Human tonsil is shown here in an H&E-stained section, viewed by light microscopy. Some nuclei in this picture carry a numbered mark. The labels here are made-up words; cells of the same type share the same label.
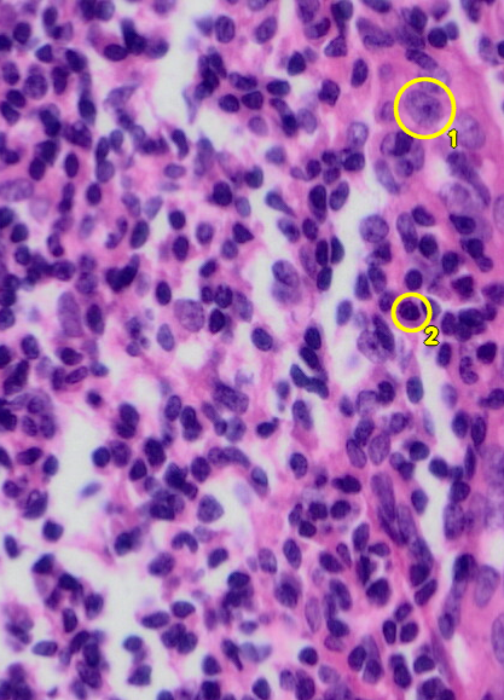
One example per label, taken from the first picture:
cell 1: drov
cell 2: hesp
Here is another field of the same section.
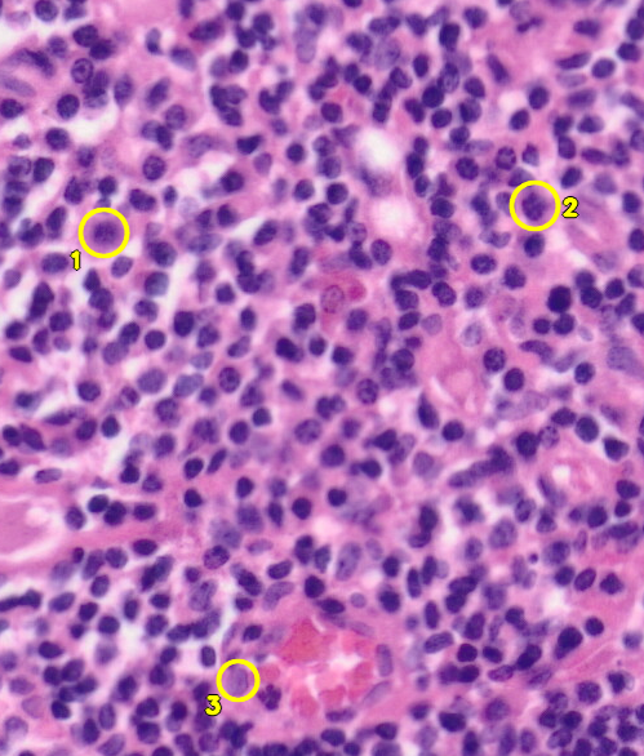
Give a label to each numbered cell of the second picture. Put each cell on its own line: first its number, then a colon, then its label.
1: hesp
2: hesp
3: drov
